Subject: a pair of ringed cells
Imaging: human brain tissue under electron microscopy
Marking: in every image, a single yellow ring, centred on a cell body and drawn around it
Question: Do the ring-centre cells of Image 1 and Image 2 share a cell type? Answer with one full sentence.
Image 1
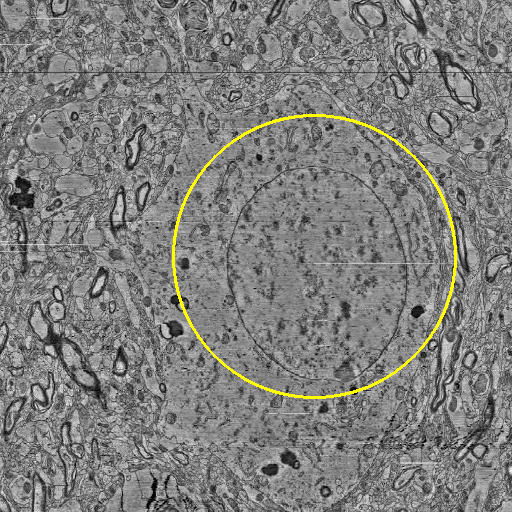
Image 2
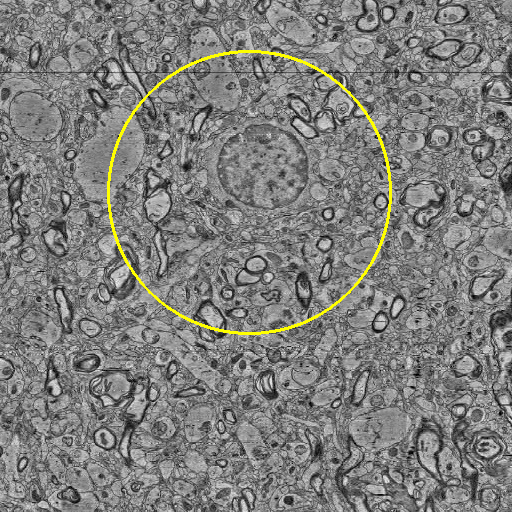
No, at the ring centres in the images sit cells of two separate types.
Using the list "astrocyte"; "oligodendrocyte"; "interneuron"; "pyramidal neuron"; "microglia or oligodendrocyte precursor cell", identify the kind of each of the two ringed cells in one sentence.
The first is a pyramidal neuron and the second is an oligodendrocyte.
